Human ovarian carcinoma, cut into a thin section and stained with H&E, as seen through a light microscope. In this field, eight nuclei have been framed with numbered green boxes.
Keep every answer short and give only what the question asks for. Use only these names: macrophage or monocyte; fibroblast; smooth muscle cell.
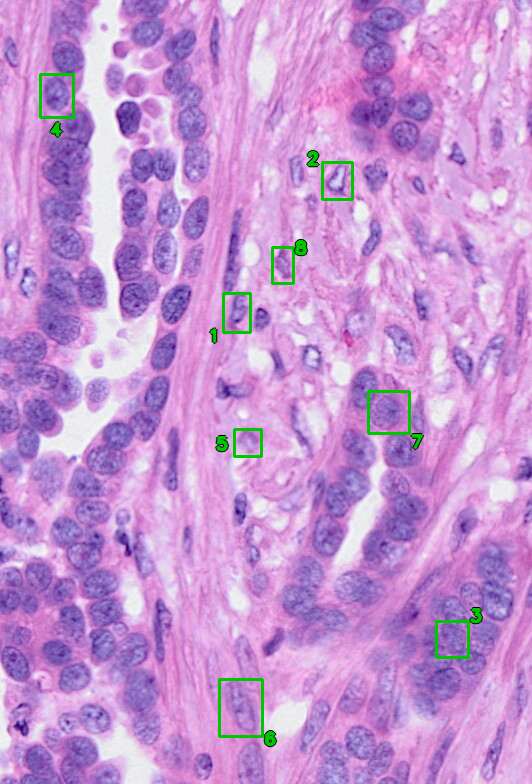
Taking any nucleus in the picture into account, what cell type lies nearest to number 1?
macrophage or monocyte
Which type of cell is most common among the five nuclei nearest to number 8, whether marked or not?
fibroblast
